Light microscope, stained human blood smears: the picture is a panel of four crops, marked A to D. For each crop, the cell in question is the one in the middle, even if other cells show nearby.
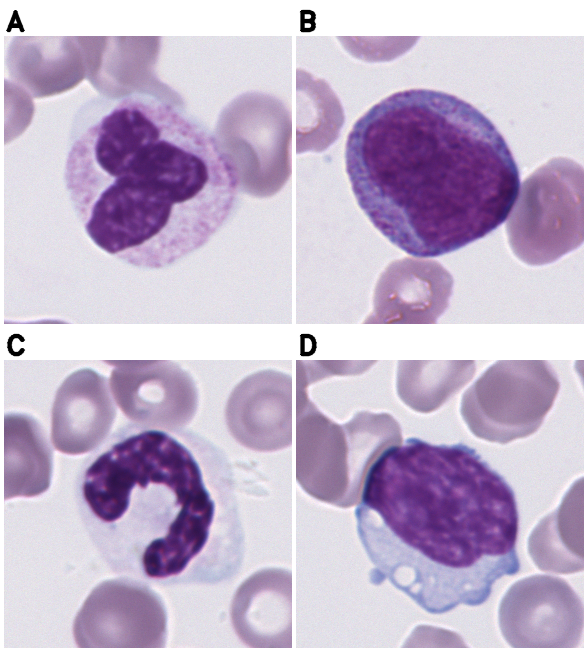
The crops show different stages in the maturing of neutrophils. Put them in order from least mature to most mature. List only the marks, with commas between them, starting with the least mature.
D, B, C, A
